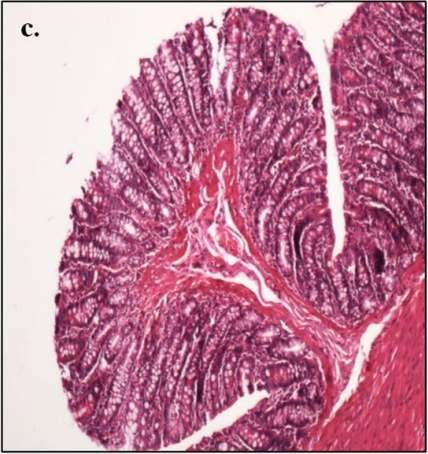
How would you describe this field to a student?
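Here the colonic mucosa is folded into broad ridges, and it is filled with long tubular glands lying close against one another. The glands are lined by cells with clear, pale mucus vacuoles, and little connective tissue separates neighbouring glands. The glands run roughly parallel, radiating from a central core. That core is made of pink, wavy strands of connective tissue and smooth muscle that extend into the folds. At the lower right edge a thick pink muscle layer is cut.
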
